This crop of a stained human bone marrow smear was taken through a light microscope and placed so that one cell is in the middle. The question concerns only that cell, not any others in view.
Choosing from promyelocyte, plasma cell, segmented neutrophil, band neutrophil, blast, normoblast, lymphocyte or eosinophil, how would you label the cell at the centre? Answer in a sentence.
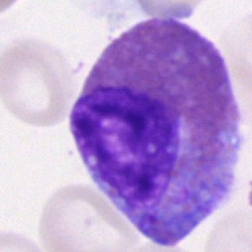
The cell in the middle of the field of view is an eosinophil.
